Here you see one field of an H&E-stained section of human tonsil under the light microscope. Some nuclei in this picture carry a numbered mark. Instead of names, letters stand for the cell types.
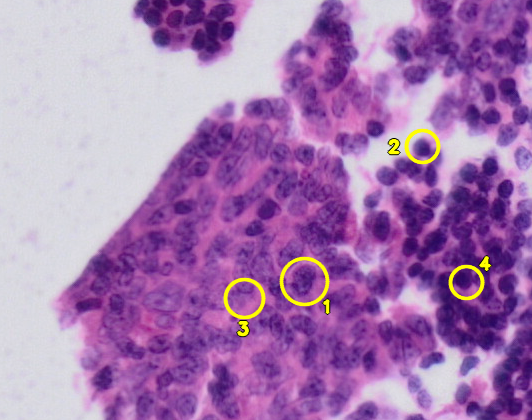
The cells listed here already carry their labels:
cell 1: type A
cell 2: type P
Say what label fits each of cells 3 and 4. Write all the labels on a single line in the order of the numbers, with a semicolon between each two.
type A; type P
